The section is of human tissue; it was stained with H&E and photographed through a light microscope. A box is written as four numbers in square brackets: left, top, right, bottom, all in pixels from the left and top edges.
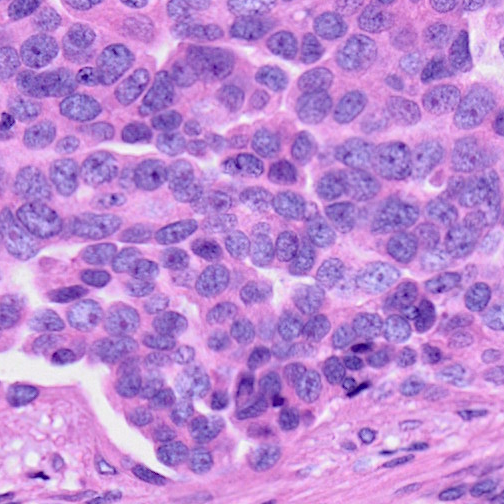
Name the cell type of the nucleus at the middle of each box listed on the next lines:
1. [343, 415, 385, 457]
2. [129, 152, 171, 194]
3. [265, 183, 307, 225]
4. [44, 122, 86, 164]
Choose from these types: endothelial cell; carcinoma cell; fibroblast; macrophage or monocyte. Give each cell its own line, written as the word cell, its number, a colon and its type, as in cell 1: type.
cell 1: fibroblast
cell 2: carcinoma cell
cell 3: carcinoma cell
cell 4: carcinoma cell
